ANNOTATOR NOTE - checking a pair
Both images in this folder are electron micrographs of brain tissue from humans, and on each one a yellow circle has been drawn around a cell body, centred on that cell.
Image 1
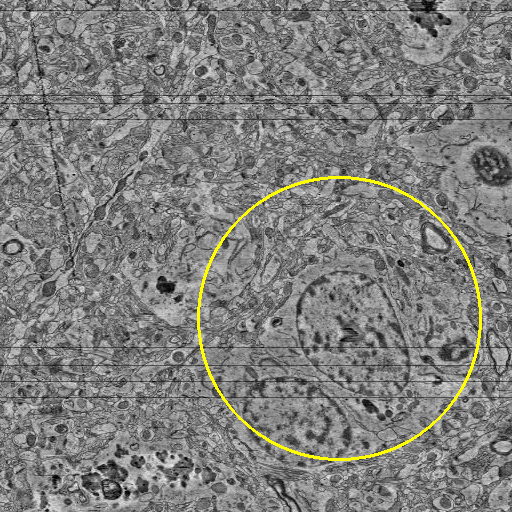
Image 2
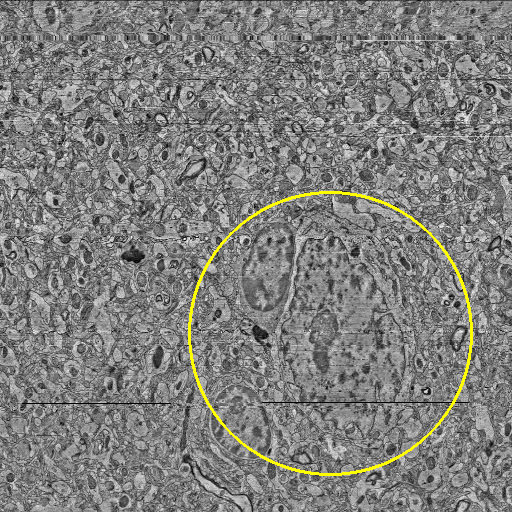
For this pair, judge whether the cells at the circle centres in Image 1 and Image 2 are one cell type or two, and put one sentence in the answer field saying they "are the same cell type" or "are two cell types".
For this pair, the cells at the circle centres in Images 1 and 2 are two cell types.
